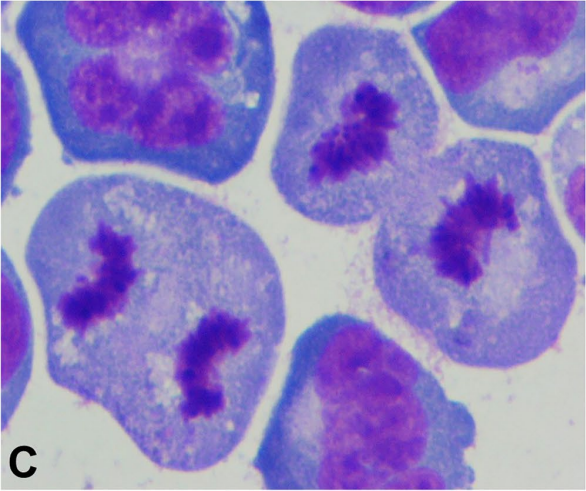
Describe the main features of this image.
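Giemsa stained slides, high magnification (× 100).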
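Large rounded cells with blue-grey cytoplasm fill the view; three of them contain dark purple, condensed chromosomes gathered into compact bands or clumps with no nuclear outline around them, while neighbouring cells keep intact, paler pink-purple nuclei. The cells with the condensed chromosome clumps are mitotic cells, lying beside cells that are not dividing.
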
